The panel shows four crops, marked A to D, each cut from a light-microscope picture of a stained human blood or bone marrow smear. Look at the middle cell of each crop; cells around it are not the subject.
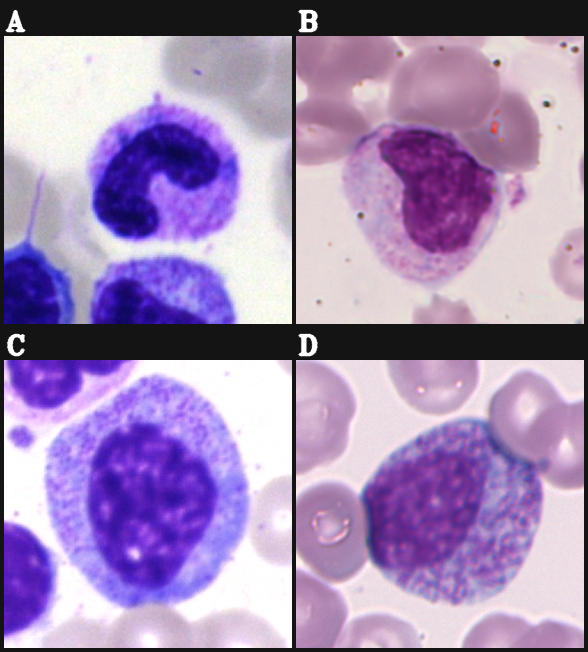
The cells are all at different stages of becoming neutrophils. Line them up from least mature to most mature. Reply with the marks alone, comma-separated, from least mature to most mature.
C, D, B, A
